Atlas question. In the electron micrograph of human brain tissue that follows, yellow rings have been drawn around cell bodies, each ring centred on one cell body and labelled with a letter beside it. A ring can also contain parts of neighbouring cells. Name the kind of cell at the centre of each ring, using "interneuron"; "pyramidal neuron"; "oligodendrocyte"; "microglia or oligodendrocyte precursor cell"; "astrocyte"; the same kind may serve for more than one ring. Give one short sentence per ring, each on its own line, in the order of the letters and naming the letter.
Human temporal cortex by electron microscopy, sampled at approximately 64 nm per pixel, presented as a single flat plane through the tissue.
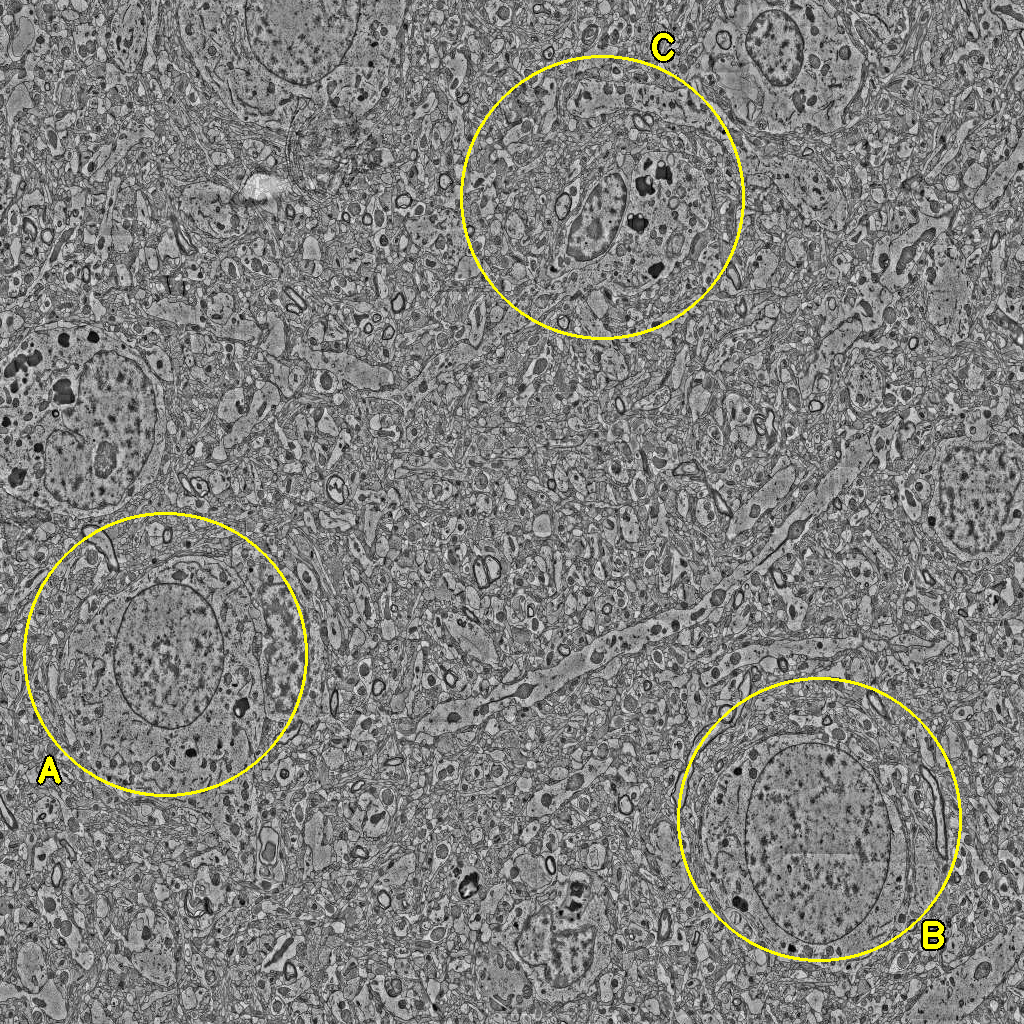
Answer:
For ring A, the cell at the centre is a pyramidal neuron.
For ring B, the cell at the centre is a pyramidal neuron.
For ring C, the cell at the centre is a microglial cell or oligodendrocyte precursor cell.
